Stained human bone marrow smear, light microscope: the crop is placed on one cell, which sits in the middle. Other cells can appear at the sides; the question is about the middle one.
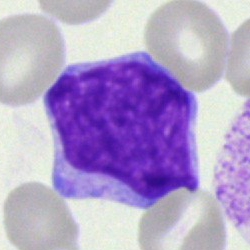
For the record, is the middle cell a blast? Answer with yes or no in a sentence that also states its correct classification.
Yes, the cell occupying the center is a blast.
